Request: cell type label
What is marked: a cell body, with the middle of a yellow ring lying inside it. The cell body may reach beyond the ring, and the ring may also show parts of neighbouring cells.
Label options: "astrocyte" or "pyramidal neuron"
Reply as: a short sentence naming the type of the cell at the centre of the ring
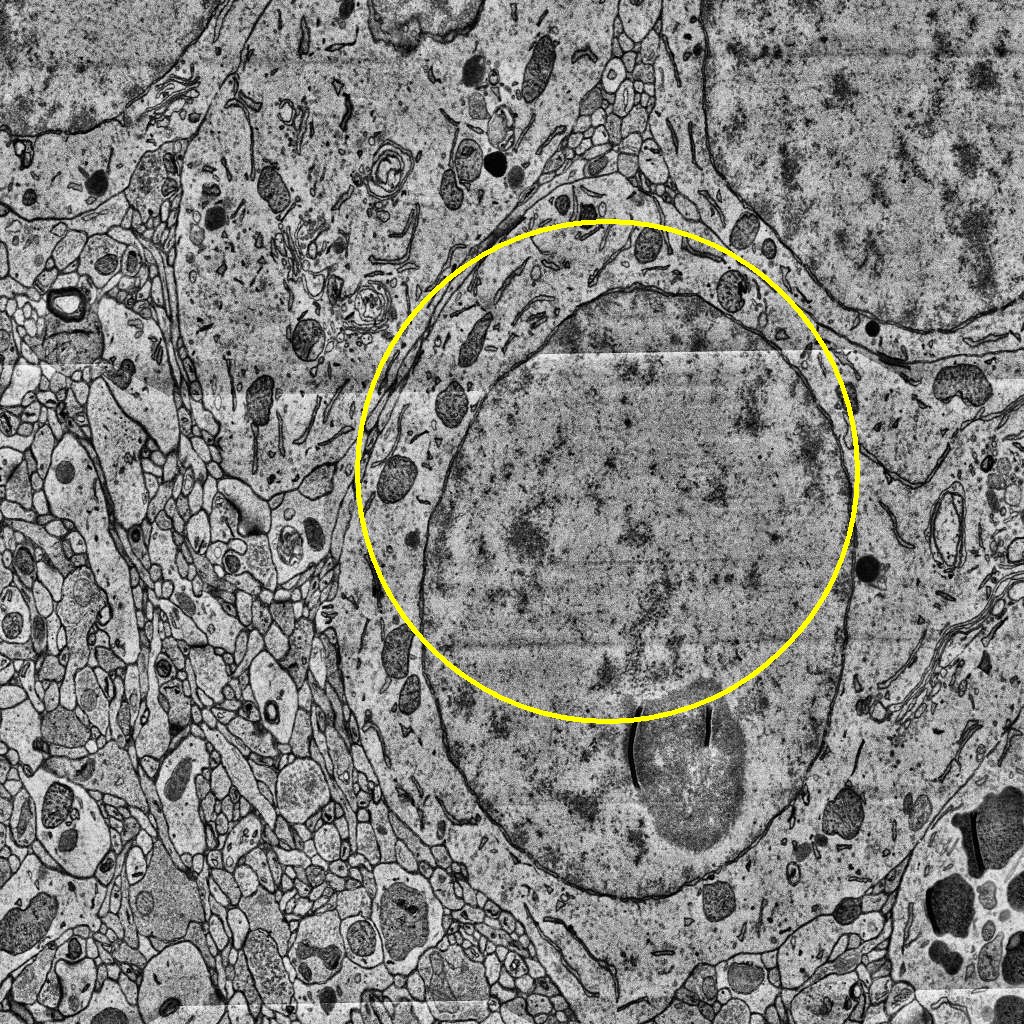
The marked cell body is that of a pyramidal neuron.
